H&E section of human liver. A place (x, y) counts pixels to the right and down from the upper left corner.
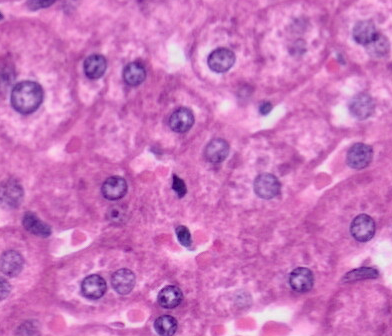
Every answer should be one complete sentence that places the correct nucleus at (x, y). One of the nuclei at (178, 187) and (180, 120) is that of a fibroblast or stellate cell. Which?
Identified as belonging to a fibroblast or stellate cell is the nucleus at (178, 187).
